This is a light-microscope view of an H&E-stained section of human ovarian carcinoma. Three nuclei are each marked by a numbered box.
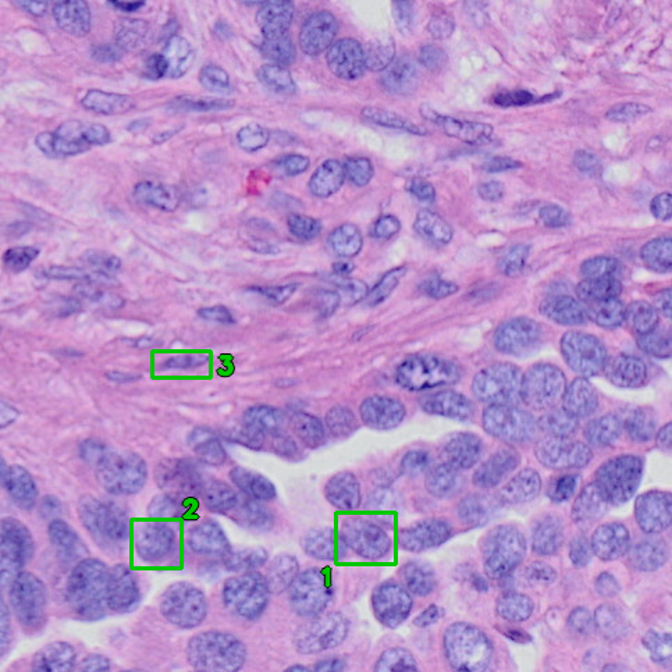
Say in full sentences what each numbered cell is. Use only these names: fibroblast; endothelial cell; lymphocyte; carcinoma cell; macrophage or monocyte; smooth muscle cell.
Cell 1 is a carcinoma cell, cell 2 is a carcinoma cell and cell 3 is a fibroblast.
